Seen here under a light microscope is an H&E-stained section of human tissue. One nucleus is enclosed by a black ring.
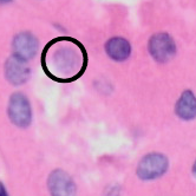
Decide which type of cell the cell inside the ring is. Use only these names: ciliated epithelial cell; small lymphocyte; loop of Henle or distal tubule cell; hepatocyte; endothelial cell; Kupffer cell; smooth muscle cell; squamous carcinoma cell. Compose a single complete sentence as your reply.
Recorded by type, the cell inside the ring is a loop of Henle or distal tubule cell.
